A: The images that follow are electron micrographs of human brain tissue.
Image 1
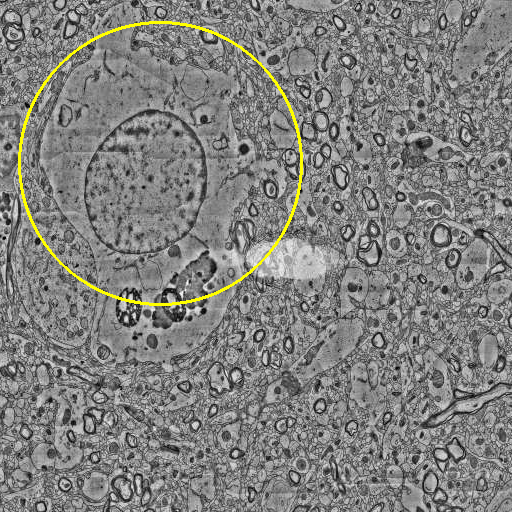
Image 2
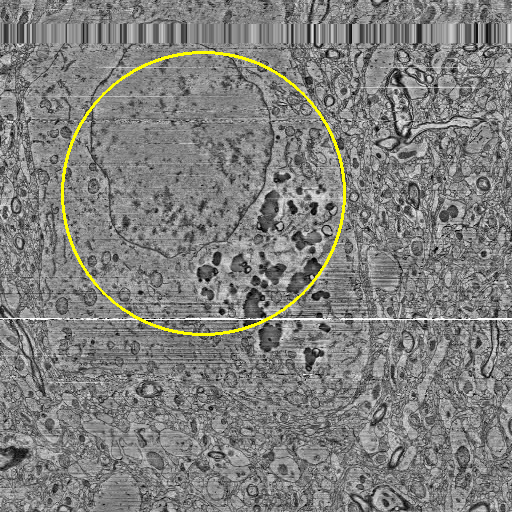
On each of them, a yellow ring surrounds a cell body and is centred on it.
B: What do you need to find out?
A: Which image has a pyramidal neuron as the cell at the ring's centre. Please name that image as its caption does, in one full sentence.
Image 2 is the one whose ring has the sought cell at its centre.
